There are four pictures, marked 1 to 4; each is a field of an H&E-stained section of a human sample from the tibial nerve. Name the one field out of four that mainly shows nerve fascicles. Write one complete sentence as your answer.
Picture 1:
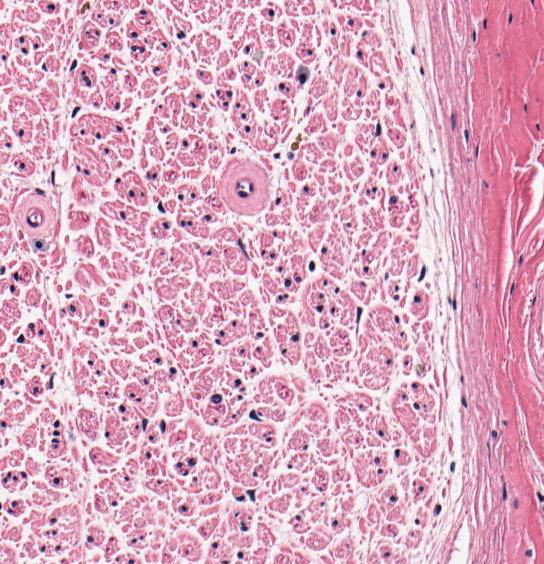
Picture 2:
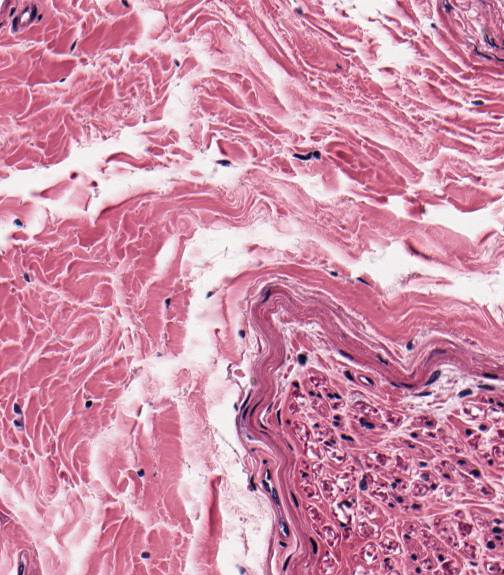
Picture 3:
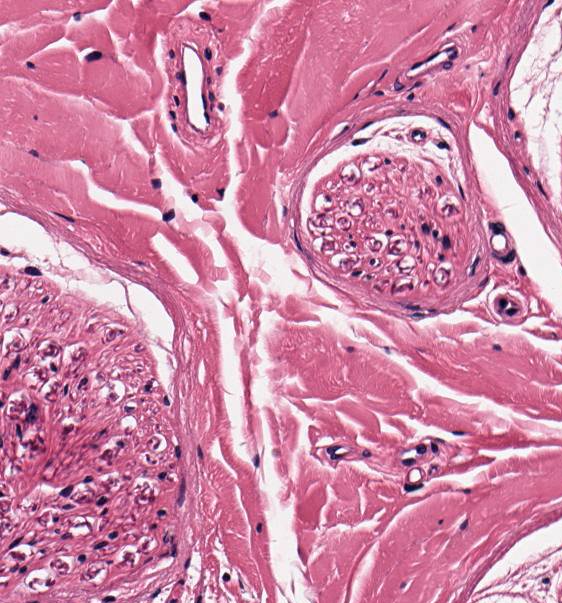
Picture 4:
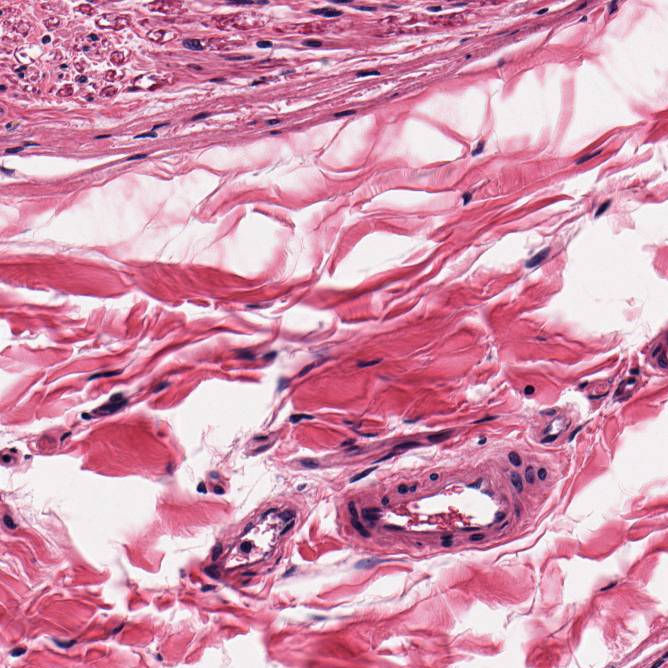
The one that mainly shows nerve fascicles is picture 1.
